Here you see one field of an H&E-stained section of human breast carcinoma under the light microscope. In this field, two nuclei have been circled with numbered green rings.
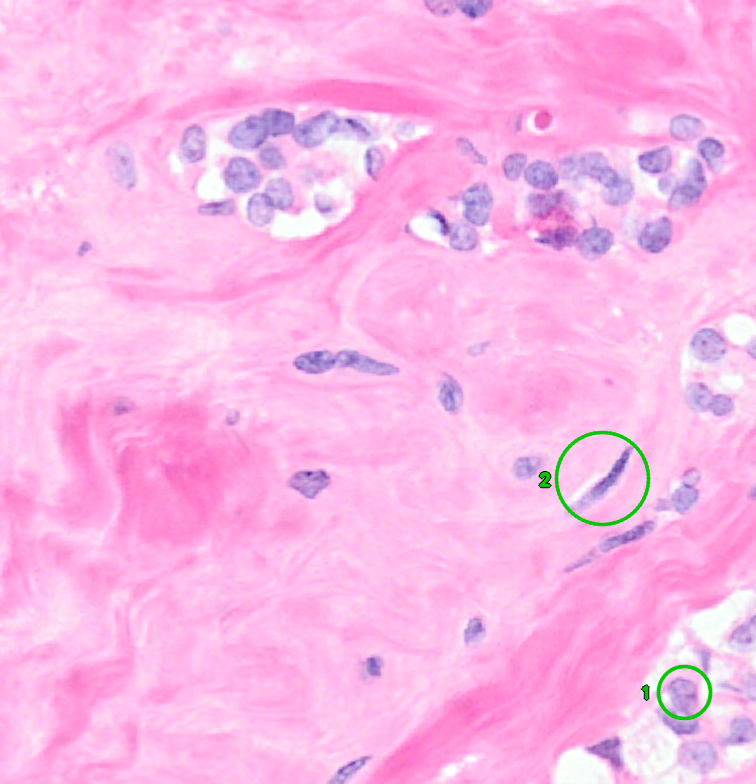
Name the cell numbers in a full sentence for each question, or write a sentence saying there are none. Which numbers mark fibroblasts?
Of all the cells bearing numbers, cell 2 is the only one that is a fibroblast.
